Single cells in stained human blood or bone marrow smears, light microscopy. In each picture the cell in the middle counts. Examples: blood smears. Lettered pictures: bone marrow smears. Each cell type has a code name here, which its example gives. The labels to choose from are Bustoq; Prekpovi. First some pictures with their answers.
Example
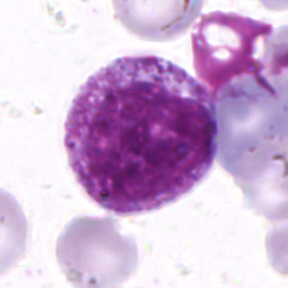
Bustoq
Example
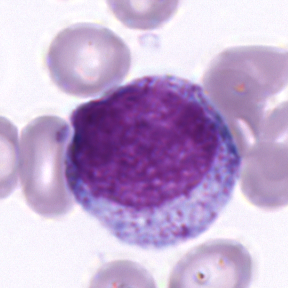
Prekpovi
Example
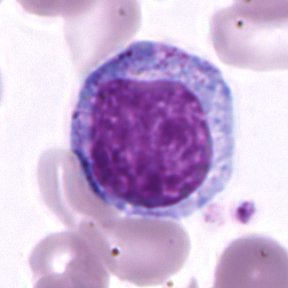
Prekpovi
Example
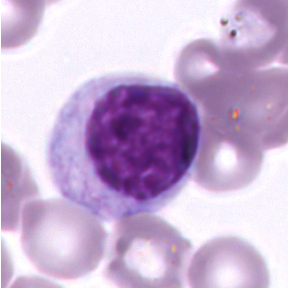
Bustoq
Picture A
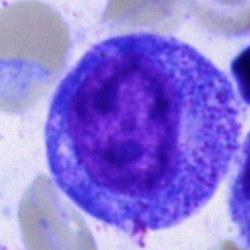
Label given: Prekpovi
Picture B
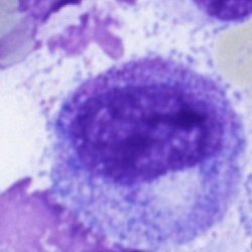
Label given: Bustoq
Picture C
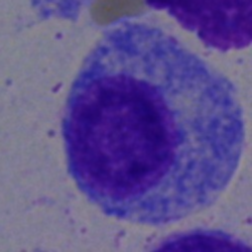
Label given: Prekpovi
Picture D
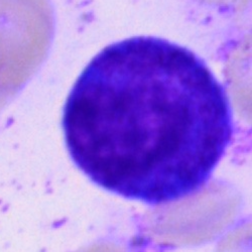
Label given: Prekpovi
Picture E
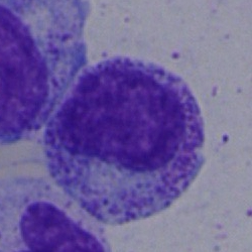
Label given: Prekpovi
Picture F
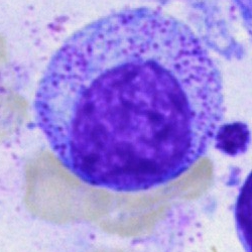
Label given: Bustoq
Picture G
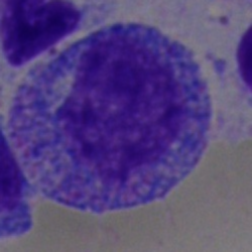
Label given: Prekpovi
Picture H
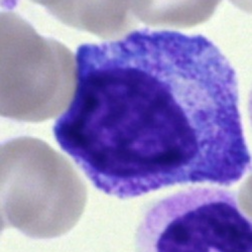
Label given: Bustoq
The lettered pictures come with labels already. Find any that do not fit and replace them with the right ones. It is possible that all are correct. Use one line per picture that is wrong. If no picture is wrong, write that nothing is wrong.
C: not Prekpovi but Bustoq
E: not Prekpovi but Bustoq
